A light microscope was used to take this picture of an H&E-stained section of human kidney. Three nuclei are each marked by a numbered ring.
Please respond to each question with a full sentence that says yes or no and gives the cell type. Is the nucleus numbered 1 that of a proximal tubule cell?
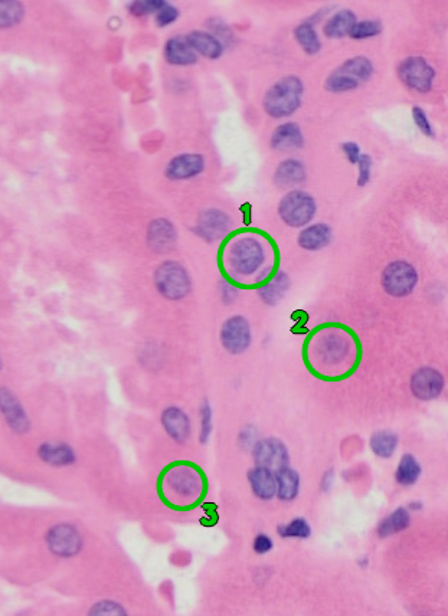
No, cell 1 is not a proximal tubule cell; a collecting duct cell is the correct identification.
